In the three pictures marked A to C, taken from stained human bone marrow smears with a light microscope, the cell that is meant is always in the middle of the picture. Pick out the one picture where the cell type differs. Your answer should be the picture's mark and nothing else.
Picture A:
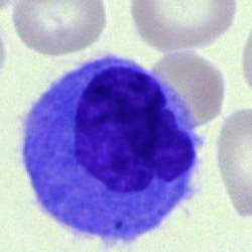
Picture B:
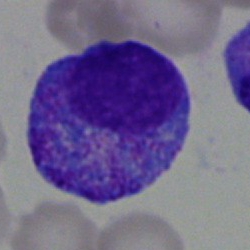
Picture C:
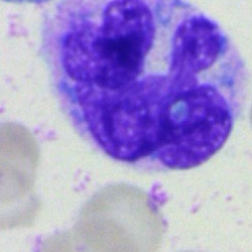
B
